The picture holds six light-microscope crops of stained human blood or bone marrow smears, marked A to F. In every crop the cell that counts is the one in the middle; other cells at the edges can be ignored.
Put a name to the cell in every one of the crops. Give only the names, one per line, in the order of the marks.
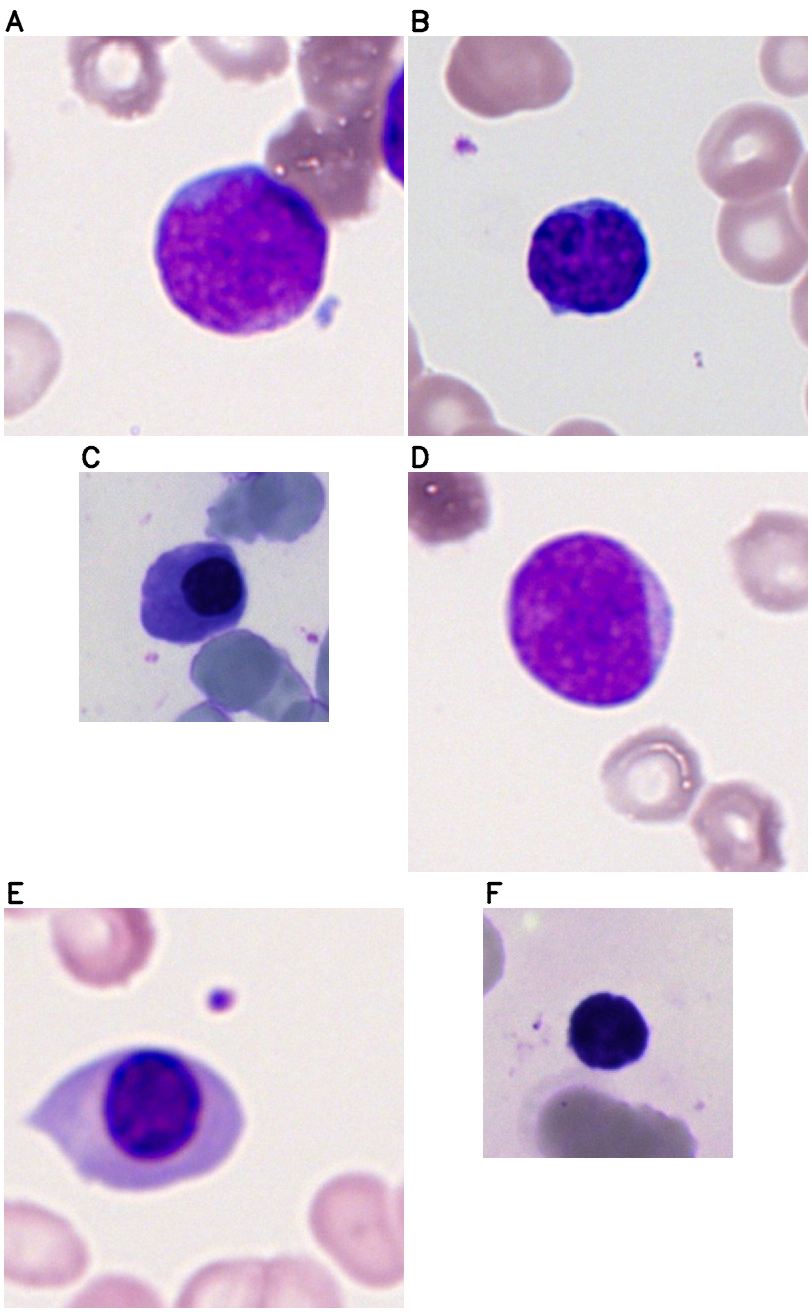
blast
lymphocyte
normoblast
blast
normoblast
lymphocyte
